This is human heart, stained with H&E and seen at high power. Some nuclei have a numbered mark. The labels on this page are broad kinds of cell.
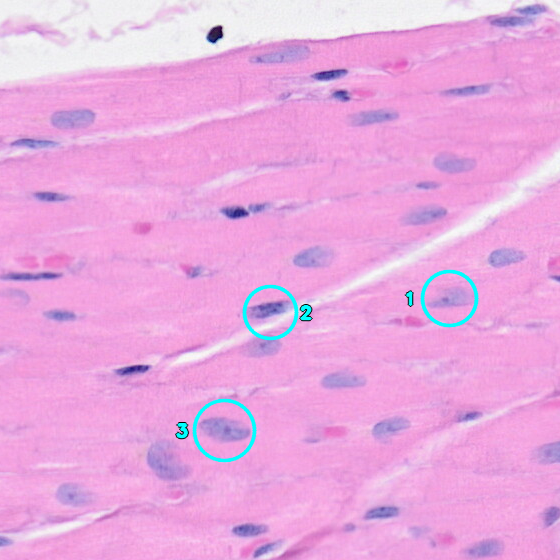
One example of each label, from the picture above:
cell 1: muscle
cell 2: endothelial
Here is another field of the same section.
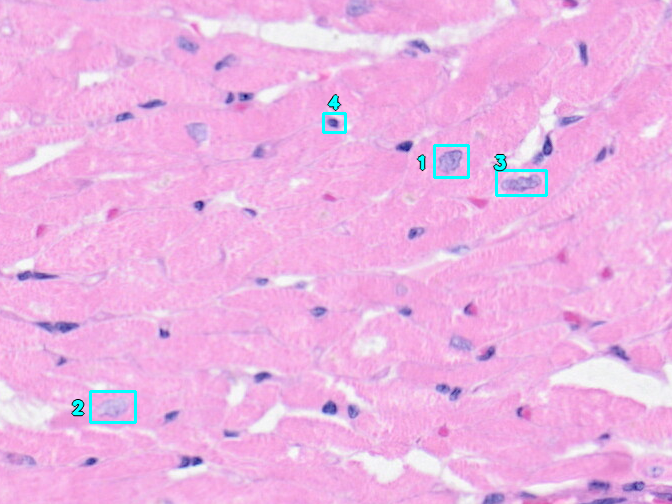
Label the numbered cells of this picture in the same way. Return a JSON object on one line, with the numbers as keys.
{"1": "muscle", "2": "muscle", "3": "muscle", "4": "endothelial"}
